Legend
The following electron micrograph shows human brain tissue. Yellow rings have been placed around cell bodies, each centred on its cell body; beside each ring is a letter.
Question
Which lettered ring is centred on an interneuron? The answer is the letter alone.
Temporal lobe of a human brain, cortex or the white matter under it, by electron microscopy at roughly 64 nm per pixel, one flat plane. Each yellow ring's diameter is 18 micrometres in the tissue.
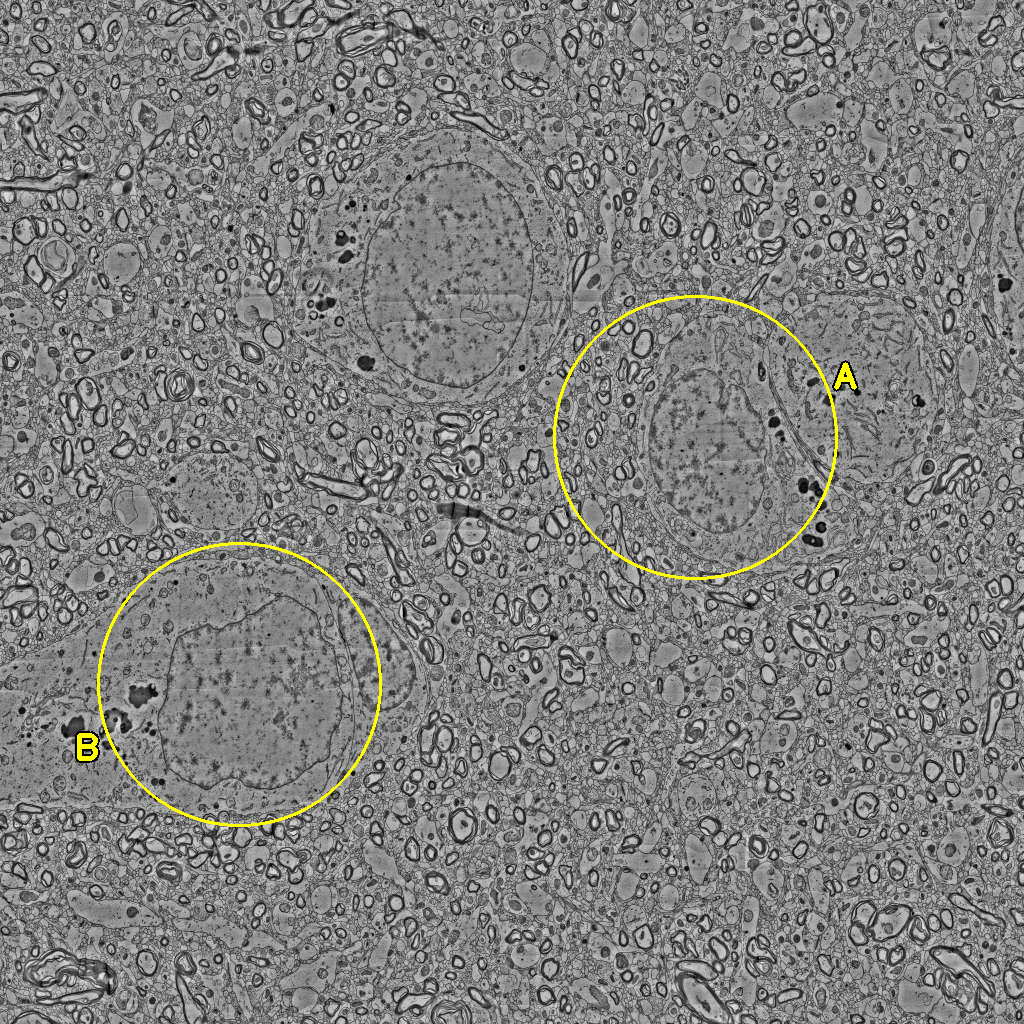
A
